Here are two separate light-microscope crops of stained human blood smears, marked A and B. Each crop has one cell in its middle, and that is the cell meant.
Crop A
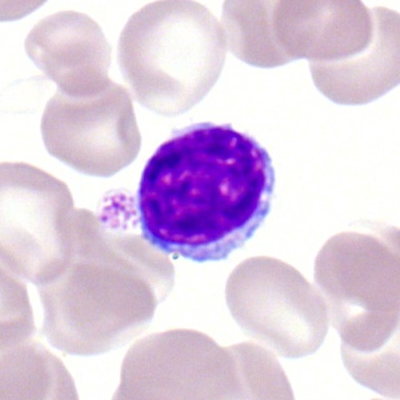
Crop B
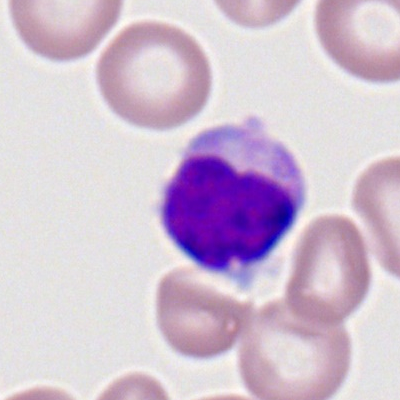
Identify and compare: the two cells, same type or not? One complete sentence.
Yes, the cells found in the middle of both crops are lymphocytes.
